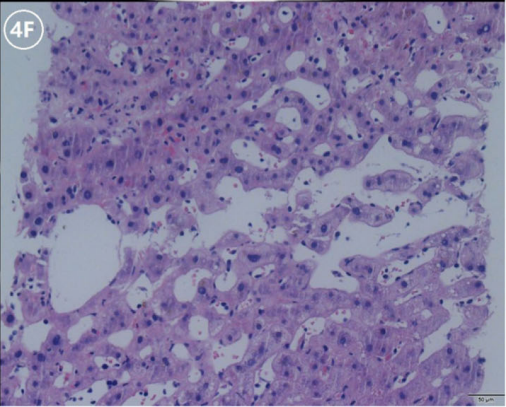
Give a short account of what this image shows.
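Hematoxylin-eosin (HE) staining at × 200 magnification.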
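This is liver tissue with cords of polygonal hepatocytes, each with a round, central, dark blue nucleus and pink to pale cytoplasm. The cords are pushed apart by wide, mostly empty spaces where the sinusoids would normally be narrow slits. A few red blood cells lie in these spaces, and a large open vascular space sits at the left edge.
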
